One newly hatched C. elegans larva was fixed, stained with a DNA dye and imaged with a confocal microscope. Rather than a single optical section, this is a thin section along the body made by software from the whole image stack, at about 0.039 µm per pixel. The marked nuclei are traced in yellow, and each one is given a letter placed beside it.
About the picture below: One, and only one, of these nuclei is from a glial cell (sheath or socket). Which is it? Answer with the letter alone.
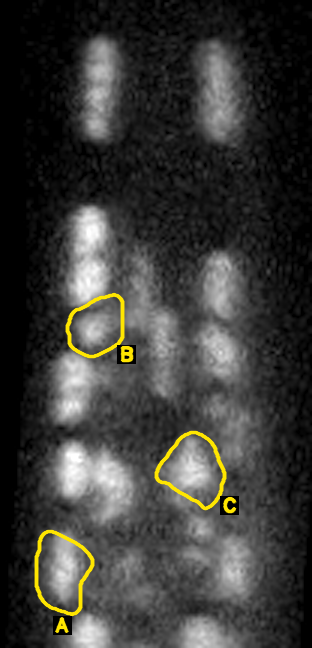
B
